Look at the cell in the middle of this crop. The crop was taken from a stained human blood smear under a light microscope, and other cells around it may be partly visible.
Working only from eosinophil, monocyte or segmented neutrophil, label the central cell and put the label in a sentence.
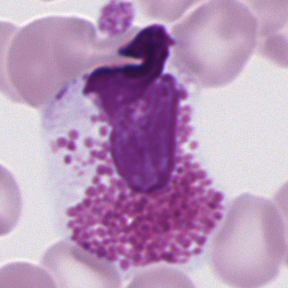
The cell centered in this field of view is an eosinophil.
